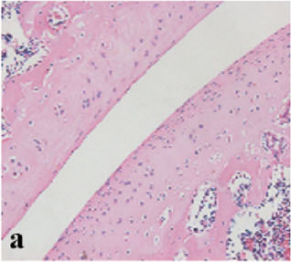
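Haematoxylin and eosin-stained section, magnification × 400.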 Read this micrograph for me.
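This section of a joint shows two layers of articular cartilage facing each other across a clear white joint space. The cartilage has smooth, even surfaces and a pink matrix. Chondrocytes within it are small cells lying singly or in small groups in pale lacunae. At the corners, spaces holding clusters of purple-nucleated cells lie beneath the cartilage.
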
